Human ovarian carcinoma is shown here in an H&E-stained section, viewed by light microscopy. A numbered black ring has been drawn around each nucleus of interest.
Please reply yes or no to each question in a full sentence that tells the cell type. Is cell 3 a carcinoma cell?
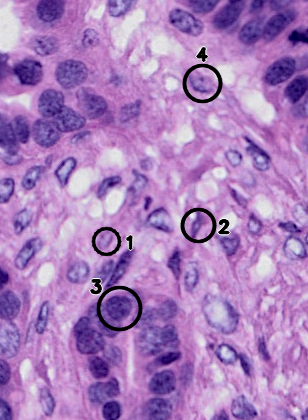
Yes, the cell that bears number 3 is a carcinoma cell.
